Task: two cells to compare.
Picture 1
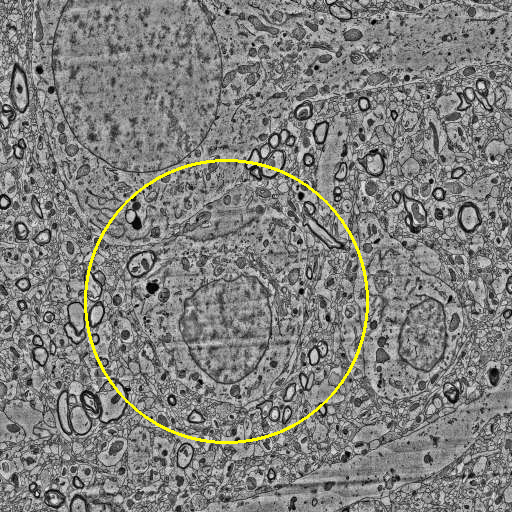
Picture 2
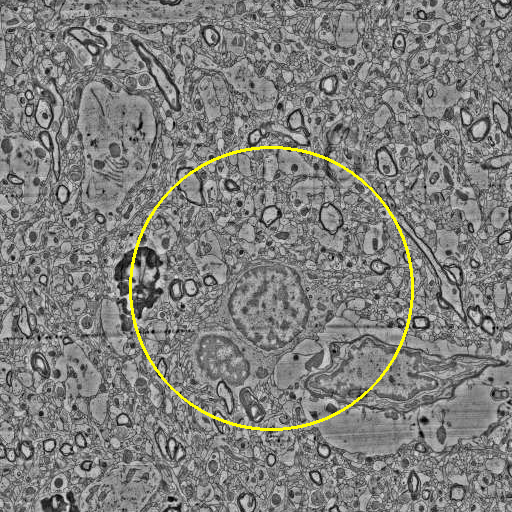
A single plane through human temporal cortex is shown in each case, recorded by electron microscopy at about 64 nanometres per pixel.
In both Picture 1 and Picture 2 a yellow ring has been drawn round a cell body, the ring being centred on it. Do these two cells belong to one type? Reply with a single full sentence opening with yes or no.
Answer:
No, the two cells at the ring centres in Picture 1 and Picture 2 are of two types.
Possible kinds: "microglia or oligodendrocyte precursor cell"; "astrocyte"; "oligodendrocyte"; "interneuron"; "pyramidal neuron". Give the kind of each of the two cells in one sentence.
The cell in the second picture is an oligodendrocyte, and that in the first is a pyramidal neuron.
